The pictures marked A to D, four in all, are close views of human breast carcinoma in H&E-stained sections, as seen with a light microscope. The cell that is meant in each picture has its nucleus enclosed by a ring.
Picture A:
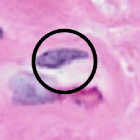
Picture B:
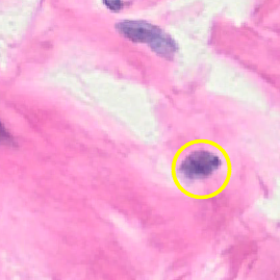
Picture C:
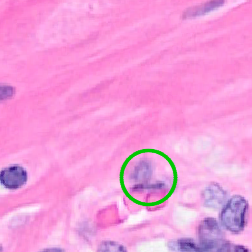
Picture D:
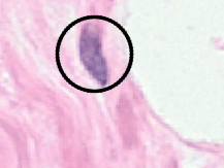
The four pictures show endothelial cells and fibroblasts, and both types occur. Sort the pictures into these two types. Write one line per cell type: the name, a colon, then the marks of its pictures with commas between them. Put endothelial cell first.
endothelial cell: A, C
fibroblast: B, D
